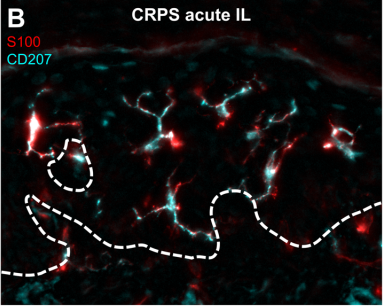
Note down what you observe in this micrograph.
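Most lie in the epithelial layer above the wavy dashed boundary with the dermis, some close to the rete ridges. The surrounding keratinocytes show only faint background texture. A dermal papilla is outlined within the field.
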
